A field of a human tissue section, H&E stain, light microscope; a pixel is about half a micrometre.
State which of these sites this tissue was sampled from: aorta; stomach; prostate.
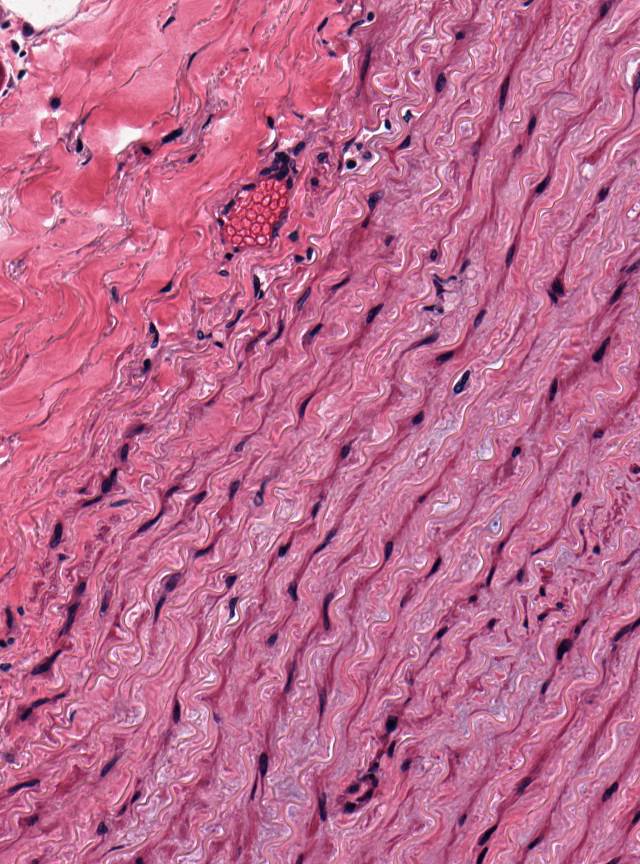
aorta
